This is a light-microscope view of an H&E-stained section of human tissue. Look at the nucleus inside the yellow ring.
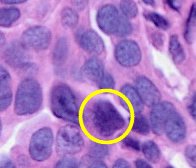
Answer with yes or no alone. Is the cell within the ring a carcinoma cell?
yes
